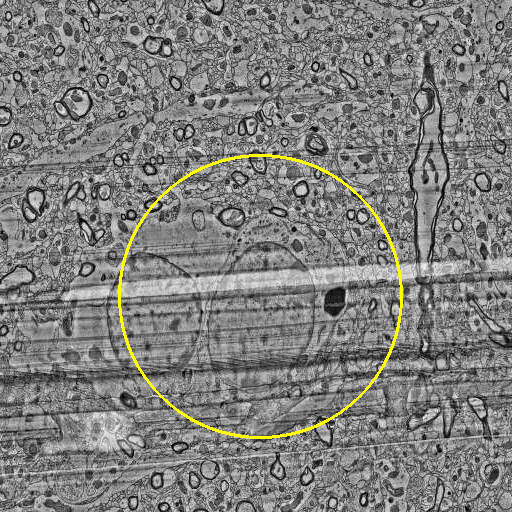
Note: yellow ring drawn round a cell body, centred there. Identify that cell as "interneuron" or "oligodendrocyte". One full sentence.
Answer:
The cell in the middle of the ring is an interneuron.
